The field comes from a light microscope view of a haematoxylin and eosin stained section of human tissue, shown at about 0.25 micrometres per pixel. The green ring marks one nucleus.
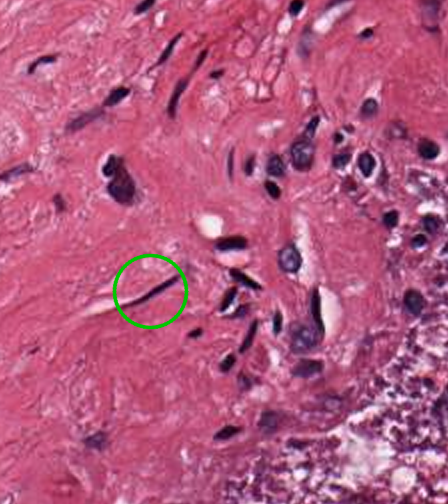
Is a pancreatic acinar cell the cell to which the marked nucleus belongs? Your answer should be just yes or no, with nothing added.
no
